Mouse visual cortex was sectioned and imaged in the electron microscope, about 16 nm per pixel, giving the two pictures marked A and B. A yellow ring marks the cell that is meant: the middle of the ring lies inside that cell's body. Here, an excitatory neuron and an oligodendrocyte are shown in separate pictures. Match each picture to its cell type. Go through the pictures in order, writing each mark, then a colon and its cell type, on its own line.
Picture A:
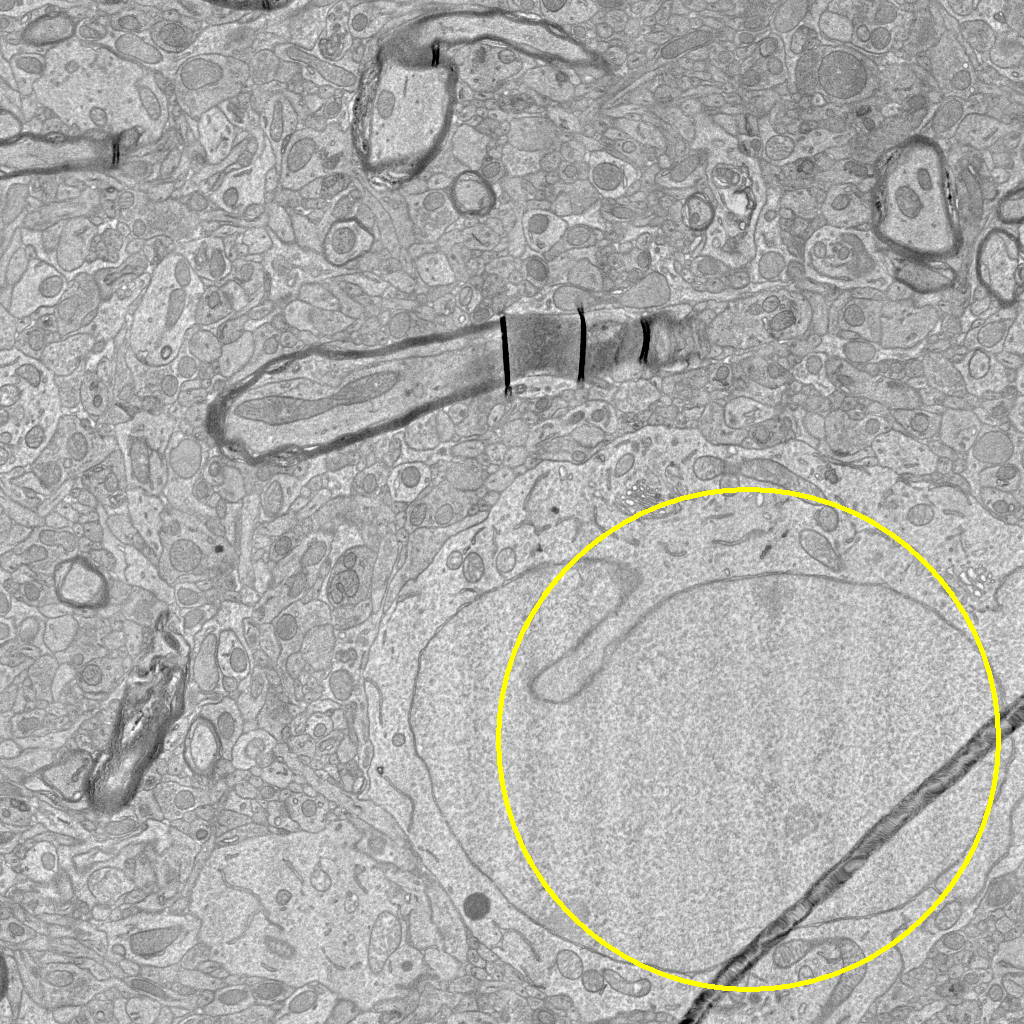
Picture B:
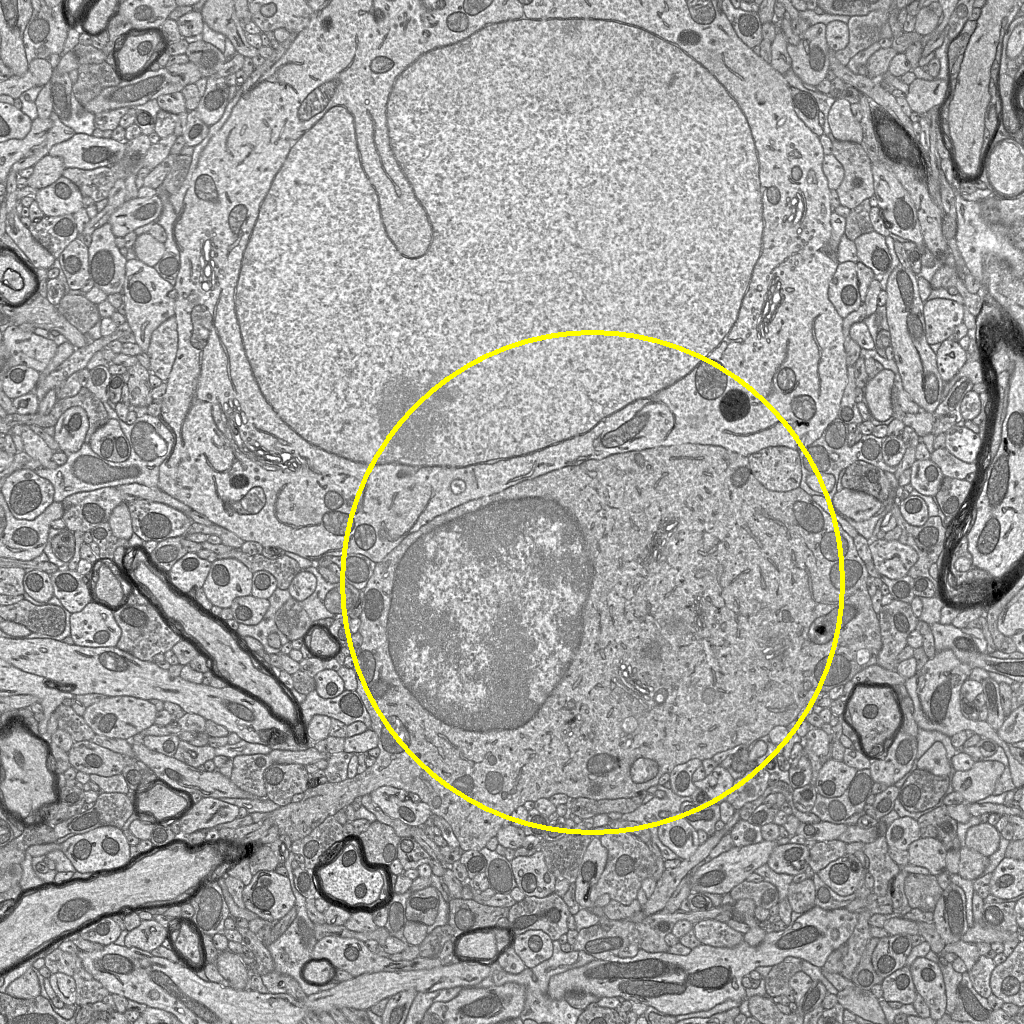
A: excitatory neuron
B: oligodendrocyte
